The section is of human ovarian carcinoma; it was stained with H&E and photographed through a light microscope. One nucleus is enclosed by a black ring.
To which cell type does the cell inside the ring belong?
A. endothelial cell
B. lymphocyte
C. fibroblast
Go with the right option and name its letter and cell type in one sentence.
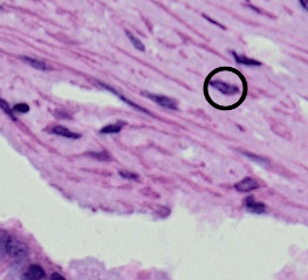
What option C states, that the cell inside the ring is a fibroblast, is correct.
